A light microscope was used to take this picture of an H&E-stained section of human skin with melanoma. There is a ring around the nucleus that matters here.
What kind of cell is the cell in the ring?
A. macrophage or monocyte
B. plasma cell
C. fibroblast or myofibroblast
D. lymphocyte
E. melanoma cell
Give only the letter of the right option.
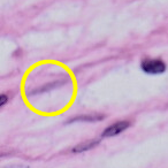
C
